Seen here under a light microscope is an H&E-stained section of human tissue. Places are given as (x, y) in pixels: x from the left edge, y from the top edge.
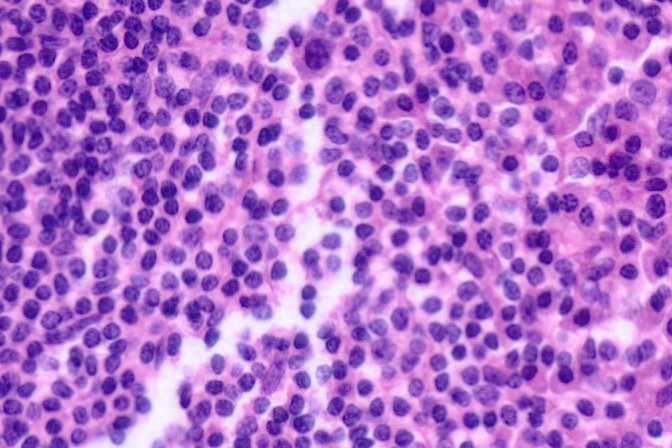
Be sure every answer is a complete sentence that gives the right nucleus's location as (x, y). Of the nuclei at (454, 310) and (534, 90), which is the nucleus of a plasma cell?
Of the two, the nucleus lying at (534, 90) is the one belonging to a plasma cell.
